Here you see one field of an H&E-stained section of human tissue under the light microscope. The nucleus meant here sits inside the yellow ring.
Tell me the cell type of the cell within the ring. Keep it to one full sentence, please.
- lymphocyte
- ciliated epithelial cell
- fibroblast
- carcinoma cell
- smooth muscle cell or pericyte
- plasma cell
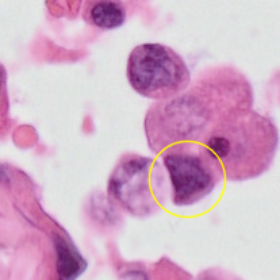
Speaking plainly, the cell within the ring is nothing other than a carcinoma cell.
